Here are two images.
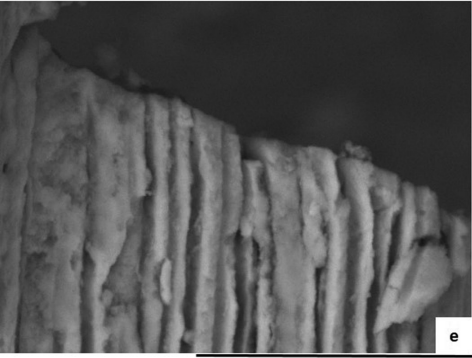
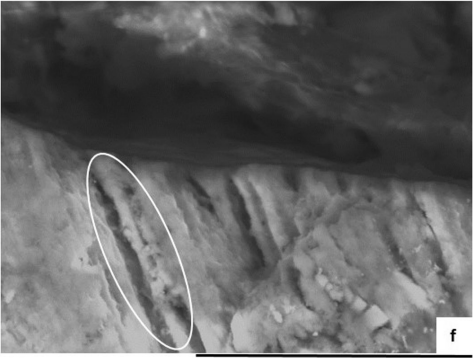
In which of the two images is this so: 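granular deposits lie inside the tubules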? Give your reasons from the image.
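Second image: a channel containing granular bright material.
Answer: the second image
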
